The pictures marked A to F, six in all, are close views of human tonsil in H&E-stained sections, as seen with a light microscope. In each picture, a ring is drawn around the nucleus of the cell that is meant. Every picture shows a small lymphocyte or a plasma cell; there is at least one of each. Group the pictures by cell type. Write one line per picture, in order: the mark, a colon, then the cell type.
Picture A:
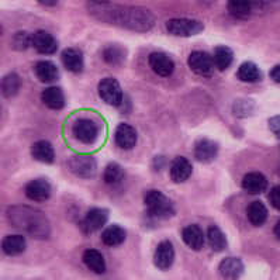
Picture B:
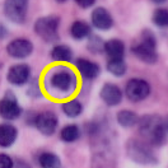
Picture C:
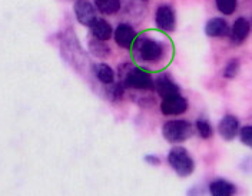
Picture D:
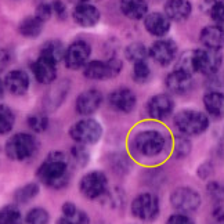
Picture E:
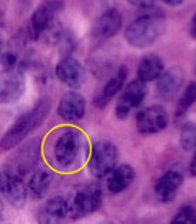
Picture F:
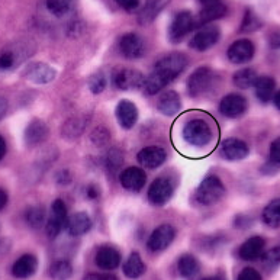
A: plasma cell
B: small lymphocyte
C: small lymphocyte
D: plasma cell
E: plasma cell
F: plasma cell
